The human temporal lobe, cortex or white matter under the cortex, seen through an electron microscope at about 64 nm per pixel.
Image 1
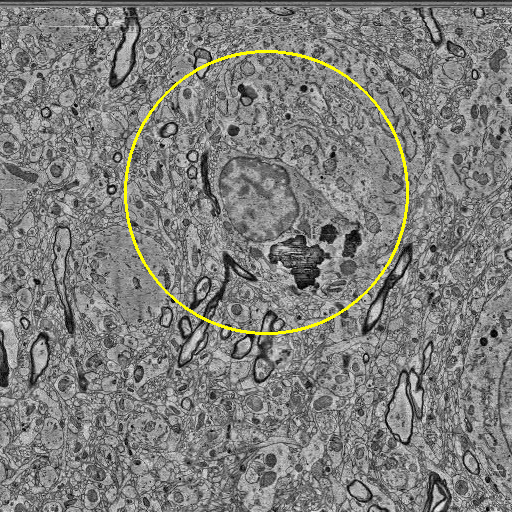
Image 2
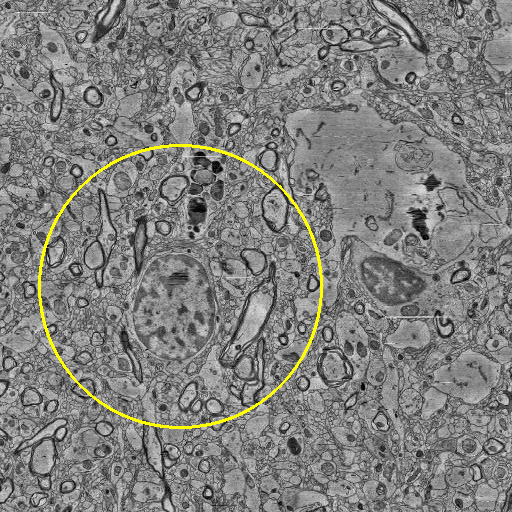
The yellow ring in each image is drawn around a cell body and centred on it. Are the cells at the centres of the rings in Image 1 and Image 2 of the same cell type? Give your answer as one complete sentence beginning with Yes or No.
No, the two cells are of two separate types.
